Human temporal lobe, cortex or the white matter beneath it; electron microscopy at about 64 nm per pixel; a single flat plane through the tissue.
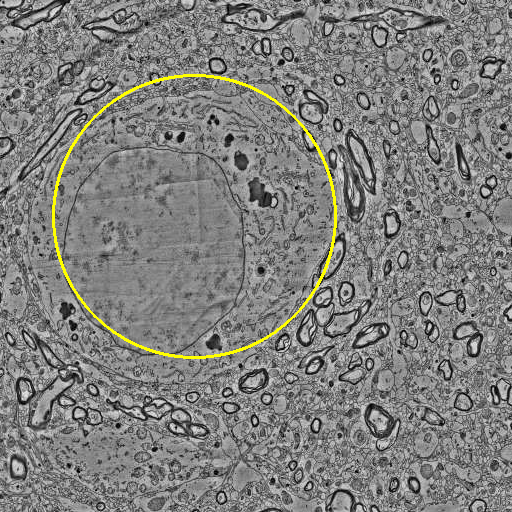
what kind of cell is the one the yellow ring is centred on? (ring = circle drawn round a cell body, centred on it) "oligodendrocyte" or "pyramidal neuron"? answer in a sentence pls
The ring is drawn around a pyramidal neuron.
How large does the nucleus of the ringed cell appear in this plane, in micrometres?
The nucleus comes to roughly 13 micrometres across in this plane.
